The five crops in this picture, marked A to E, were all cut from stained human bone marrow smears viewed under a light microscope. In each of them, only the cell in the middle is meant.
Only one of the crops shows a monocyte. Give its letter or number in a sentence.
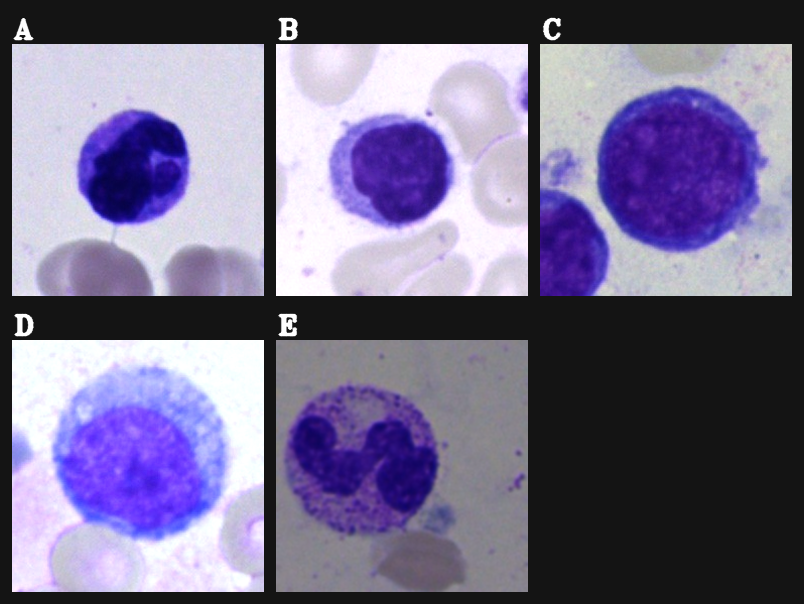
The crop carrying a monocyte at the center is crop A.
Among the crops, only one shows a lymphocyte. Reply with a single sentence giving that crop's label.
Crop B, and no other, is the one that shows a lymphocyte.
